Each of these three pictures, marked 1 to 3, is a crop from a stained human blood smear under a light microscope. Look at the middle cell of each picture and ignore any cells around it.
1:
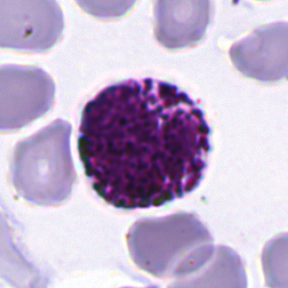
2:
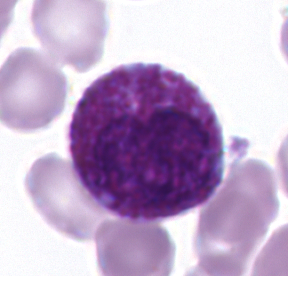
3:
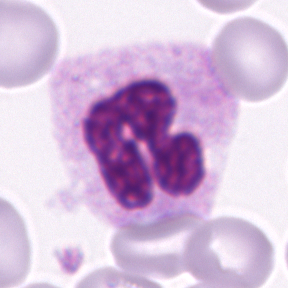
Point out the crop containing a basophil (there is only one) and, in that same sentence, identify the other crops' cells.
While crop 2 is an eosinophil and crop 3 is a neutrophil, crop 1 shows a basophil.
